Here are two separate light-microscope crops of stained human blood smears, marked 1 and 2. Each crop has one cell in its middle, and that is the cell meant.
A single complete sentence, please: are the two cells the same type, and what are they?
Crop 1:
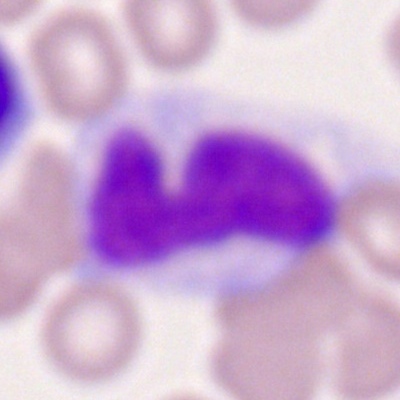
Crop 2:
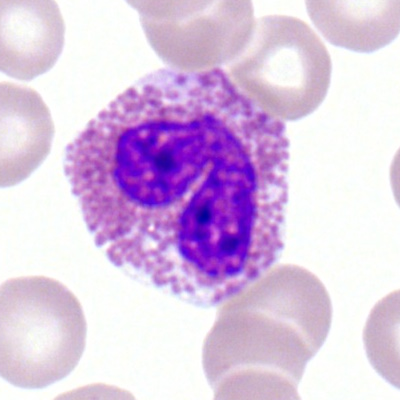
No, crop 1 shows a monocyte, and the cell in crop 2 is an eosinophil.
